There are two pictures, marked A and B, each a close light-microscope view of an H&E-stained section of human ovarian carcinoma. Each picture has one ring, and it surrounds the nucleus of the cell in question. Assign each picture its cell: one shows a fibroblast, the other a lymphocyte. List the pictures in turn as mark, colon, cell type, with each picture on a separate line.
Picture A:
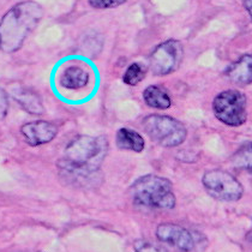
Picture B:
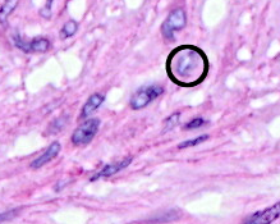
A: lymphocyte
B: fibroblast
